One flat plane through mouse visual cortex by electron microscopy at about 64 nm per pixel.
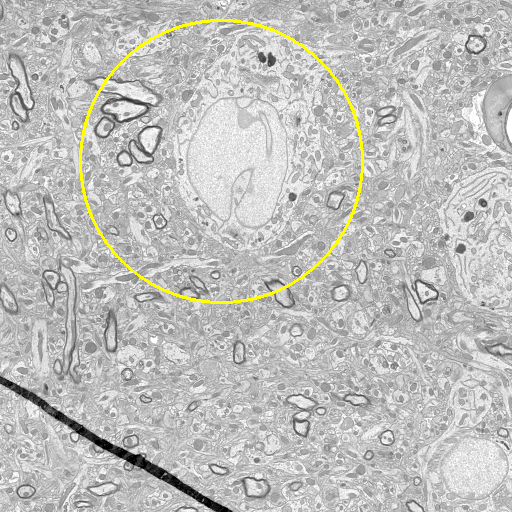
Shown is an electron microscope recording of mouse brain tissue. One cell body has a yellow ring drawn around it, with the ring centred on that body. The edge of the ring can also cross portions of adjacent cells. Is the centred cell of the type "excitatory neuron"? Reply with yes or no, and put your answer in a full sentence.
No, in the picture, the cell on which the ring is centred has a different type.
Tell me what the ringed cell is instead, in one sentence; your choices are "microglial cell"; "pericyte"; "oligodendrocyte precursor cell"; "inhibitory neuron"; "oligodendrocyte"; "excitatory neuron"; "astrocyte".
The ring's central cell is an inhibitory neuron instead.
